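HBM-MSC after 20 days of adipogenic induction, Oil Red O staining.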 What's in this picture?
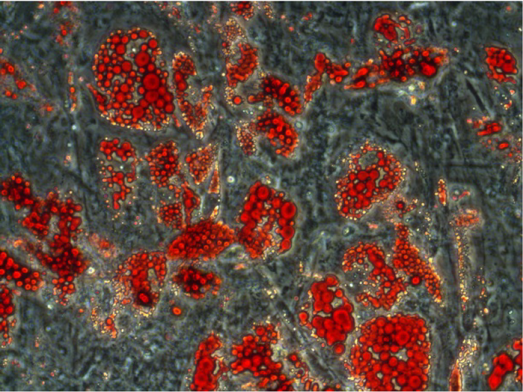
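The droplets vary from tiny specks to large globules and crowd together in clusters, filling the cytoplasm of individual cells. Between the clusters, a dense layer of elongated, unstained cells forms a grey background.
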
